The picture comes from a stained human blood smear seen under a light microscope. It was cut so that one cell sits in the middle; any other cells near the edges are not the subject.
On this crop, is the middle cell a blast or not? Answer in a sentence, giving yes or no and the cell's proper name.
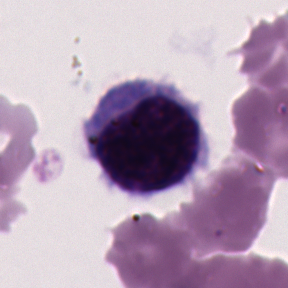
No, the central cell does not count as a blast; it is a hairy cell.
